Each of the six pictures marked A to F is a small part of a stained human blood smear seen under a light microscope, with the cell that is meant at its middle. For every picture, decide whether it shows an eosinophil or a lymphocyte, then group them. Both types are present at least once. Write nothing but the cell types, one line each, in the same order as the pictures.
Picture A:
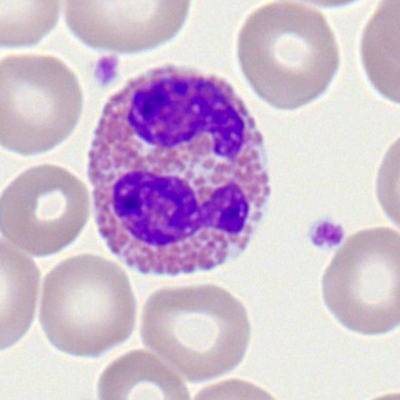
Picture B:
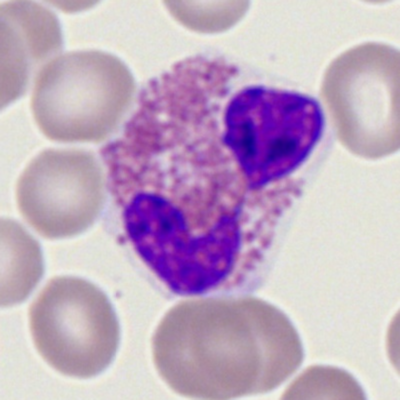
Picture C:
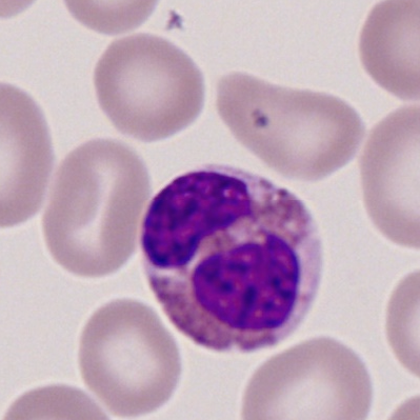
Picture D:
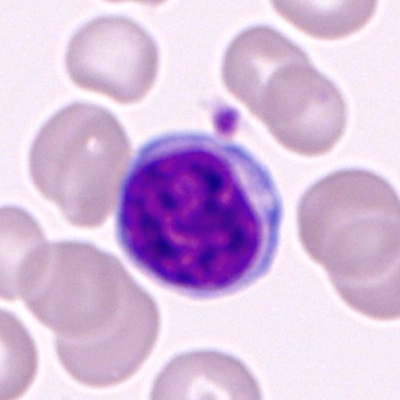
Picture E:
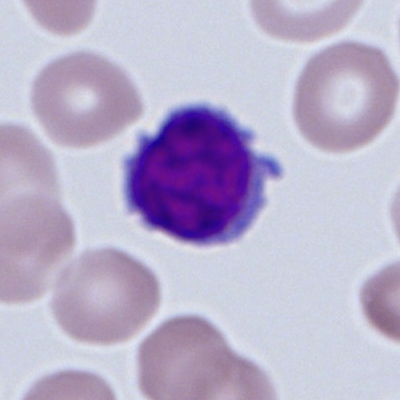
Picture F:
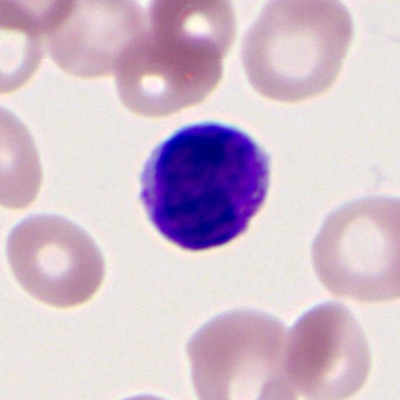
eosinophil
eosinophil
eosinophil
lymphocyte
lymphocyte
lymphocyte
